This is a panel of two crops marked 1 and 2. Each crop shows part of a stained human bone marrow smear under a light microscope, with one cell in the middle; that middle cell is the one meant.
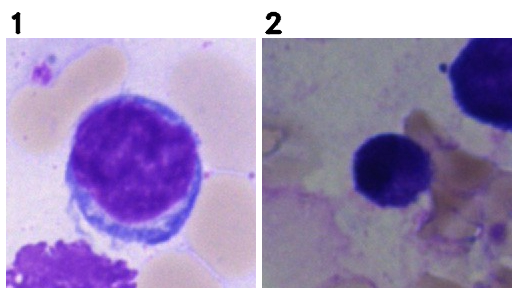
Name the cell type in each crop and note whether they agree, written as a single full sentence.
Yes, lymphocytes are present at the centre of both crops.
